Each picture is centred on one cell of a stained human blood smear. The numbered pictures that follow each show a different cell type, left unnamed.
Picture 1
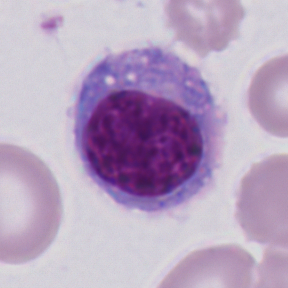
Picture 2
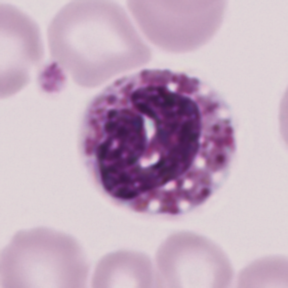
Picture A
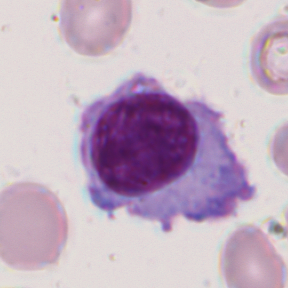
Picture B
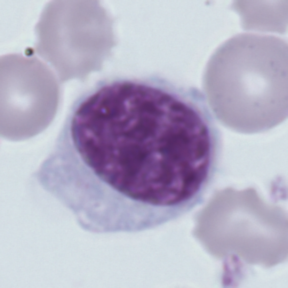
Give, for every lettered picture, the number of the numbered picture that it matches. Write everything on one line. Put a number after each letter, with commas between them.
A 1, B 1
